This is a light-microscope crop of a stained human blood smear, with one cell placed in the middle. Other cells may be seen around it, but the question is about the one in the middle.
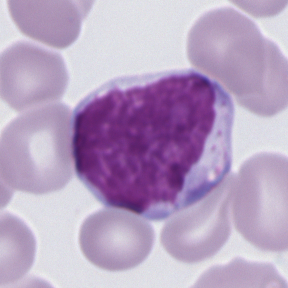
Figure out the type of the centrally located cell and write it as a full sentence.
Regarding the central cell, it is a large granular lymphocyte.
